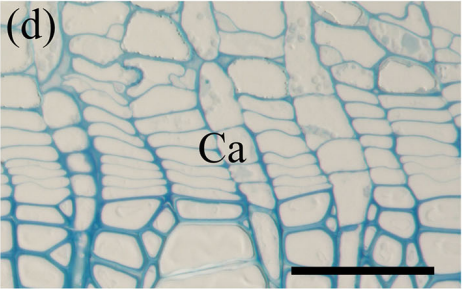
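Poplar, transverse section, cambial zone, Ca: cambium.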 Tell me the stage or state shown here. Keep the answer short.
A: reactivating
